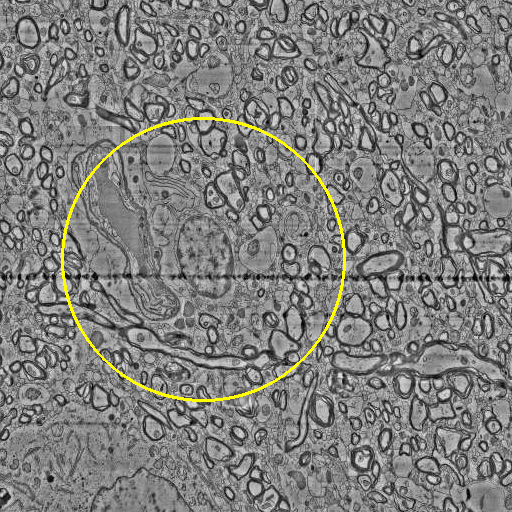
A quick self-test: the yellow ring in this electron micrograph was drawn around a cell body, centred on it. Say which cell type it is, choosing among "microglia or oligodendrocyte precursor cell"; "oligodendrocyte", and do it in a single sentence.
The yellow-ringed cell is a microglial cell or oligodendrocyte precursor cell.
